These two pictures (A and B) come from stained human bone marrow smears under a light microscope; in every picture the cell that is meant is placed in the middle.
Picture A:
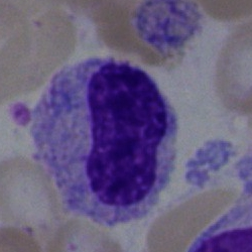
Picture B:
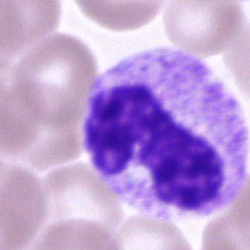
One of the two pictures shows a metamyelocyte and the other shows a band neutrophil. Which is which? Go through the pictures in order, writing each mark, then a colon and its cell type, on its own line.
A: metamyelocyte
B: band neutrophil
